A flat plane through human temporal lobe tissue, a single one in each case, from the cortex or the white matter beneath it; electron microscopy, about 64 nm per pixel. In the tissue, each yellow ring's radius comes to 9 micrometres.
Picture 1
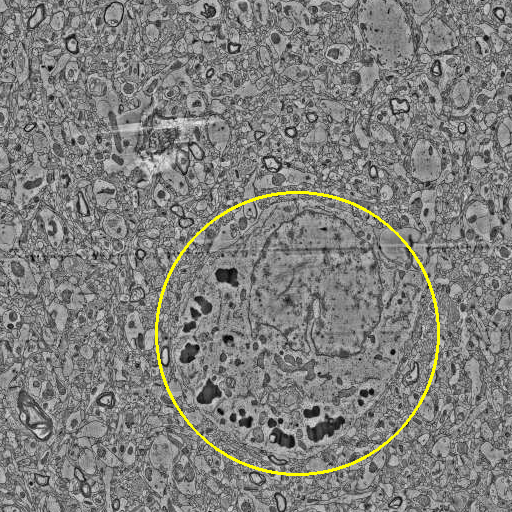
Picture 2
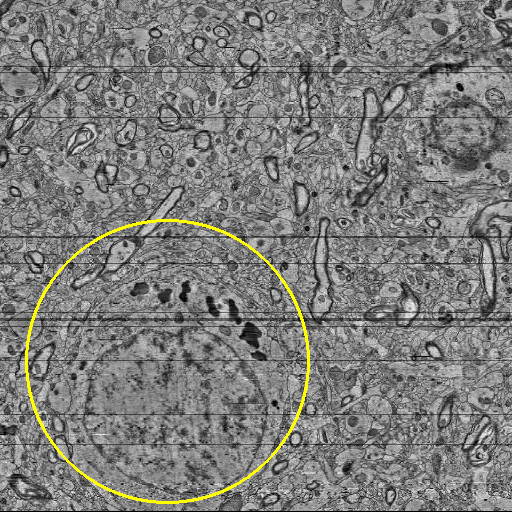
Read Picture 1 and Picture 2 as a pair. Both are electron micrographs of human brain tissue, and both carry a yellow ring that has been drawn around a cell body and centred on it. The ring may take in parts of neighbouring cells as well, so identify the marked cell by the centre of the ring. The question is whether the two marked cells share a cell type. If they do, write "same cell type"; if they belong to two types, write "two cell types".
same cell type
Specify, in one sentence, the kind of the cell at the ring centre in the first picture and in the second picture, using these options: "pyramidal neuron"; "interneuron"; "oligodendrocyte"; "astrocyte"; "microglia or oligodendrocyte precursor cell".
Both cells are the same kind, each one being an interneuron.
